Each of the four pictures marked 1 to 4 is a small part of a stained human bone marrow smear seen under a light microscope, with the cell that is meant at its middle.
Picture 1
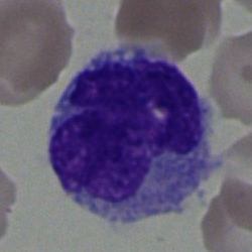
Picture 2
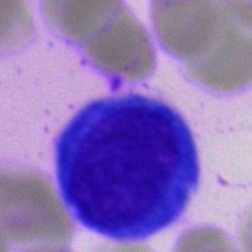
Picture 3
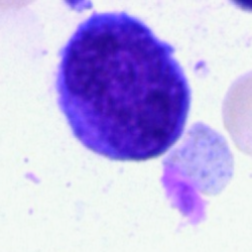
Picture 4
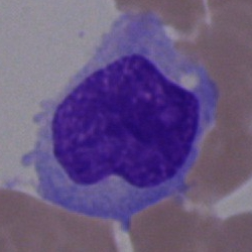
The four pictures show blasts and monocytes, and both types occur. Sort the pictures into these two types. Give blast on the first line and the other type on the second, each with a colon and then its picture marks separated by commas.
blast: 2, 3
monocyte: 1, 4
